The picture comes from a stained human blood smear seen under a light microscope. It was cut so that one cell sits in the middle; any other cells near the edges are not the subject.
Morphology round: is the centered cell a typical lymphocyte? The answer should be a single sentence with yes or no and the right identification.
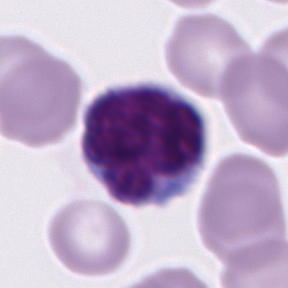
Yes, the cell lying in the centre of the crop is identified as a typical lymphocyte.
